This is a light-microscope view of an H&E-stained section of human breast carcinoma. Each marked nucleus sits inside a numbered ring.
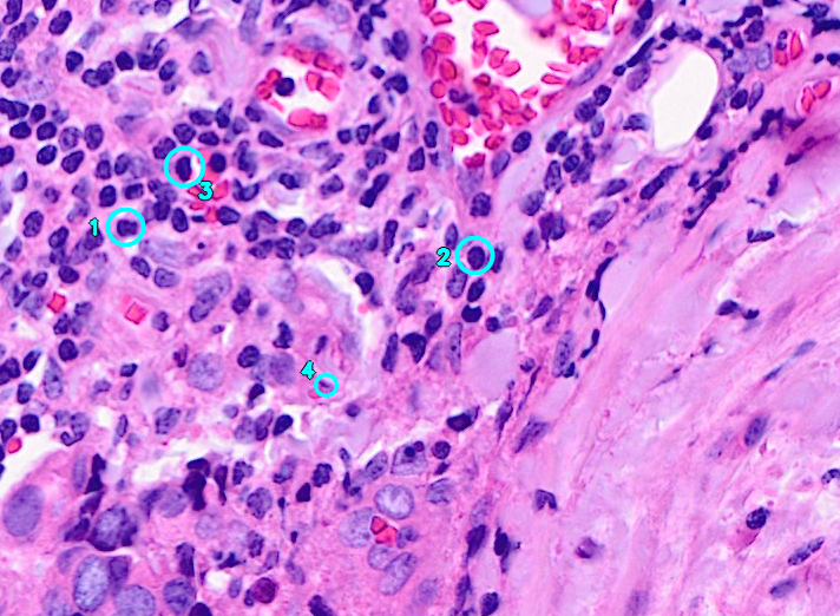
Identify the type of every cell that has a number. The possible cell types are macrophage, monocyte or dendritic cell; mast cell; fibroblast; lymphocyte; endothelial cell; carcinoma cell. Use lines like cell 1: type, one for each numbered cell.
cell 1: lymphocyte
cell 2: lymphocyte
cell 3: lymphocyte
cell 4: endothelial cell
